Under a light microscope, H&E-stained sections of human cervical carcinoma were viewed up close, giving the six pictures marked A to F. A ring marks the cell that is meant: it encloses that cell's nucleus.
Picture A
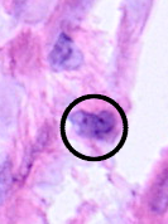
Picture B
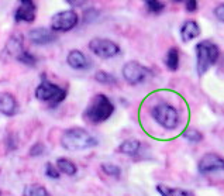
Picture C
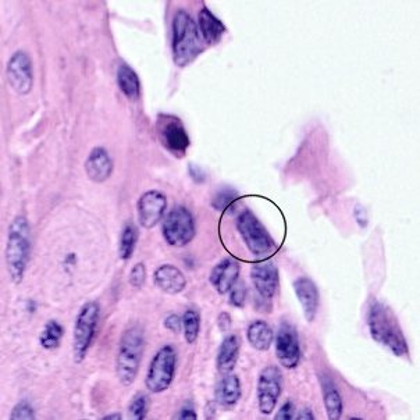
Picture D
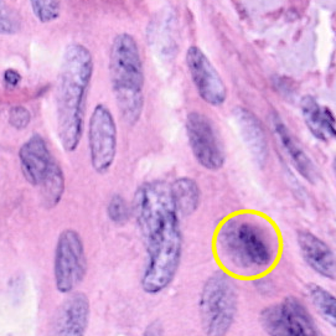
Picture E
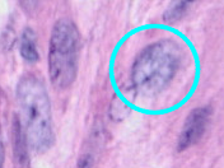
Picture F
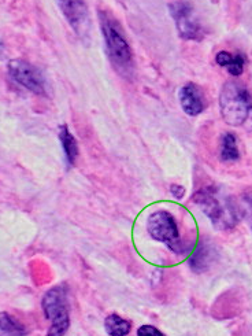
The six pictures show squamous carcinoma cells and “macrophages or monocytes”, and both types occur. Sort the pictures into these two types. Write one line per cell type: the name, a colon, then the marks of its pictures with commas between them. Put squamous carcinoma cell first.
squamous carcinoma cell: C, D, E
macrophage or monocyte: A, B, F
